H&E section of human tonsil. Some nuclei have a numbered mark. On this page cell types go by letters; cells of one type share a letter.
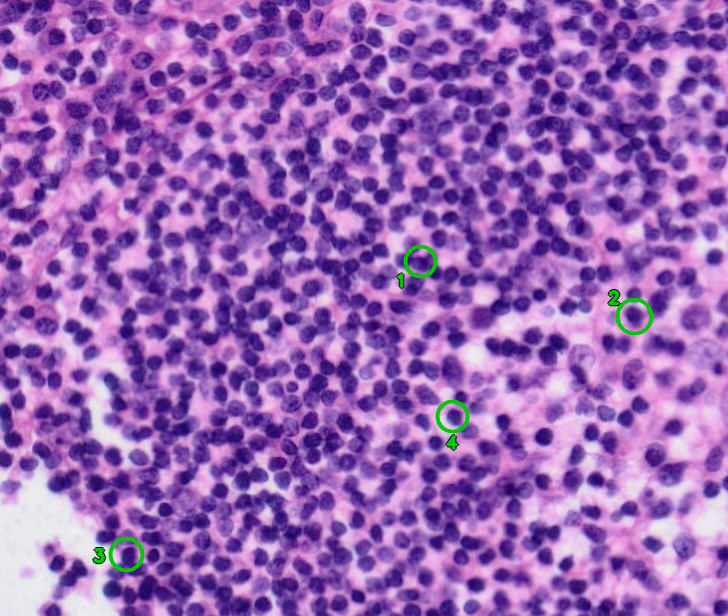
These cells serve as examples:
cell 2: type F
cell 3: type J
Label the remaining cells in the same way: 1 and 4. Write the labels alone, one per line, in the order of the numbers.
type J
type J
